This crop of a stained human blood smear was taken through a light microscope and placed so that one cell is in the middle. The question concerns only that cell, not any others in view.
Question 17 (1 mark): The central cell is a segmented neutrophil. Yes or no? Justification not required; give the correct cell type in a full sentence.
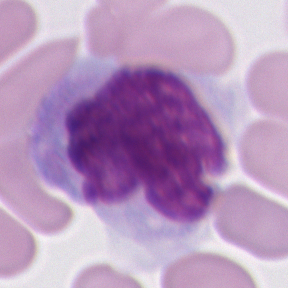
No, the cell at the center of this crop is a monocyte instead of a segmented neutrophil.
